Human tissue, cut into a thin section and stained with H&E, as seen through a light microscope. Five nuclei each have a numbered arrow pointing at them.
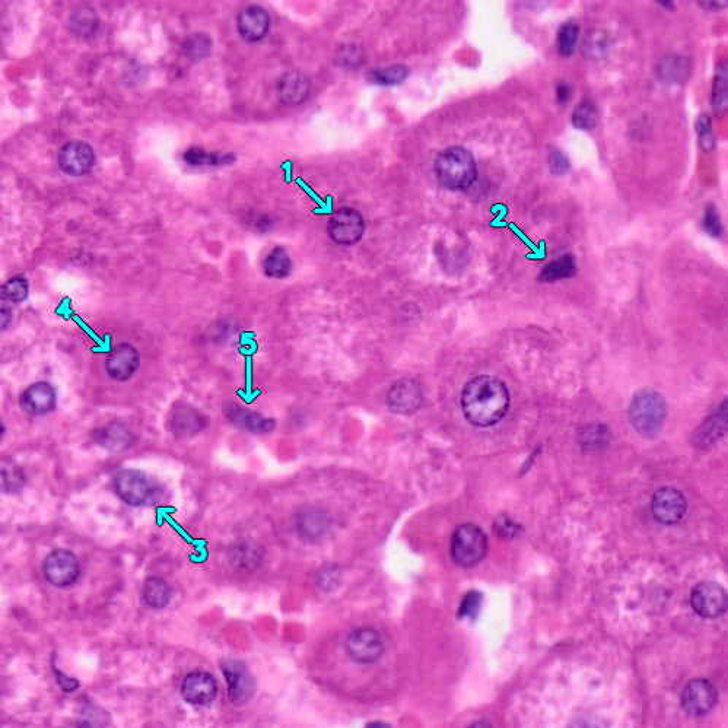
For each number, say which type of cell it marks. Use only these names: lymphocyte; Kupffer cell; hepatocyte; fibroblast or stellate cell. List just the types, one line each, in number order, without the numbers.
hepatocyte
fibroblast or stellate cell
hepatocyte
hepatocyte
Kupffer cell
